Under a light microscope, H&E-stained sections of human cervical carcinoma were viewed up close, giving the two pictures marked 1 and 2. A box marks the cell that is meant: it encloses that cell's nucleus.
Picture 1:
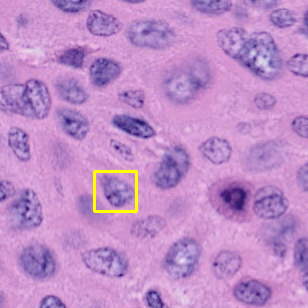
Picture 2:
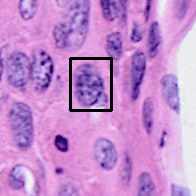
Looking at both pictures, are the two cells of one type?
yes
